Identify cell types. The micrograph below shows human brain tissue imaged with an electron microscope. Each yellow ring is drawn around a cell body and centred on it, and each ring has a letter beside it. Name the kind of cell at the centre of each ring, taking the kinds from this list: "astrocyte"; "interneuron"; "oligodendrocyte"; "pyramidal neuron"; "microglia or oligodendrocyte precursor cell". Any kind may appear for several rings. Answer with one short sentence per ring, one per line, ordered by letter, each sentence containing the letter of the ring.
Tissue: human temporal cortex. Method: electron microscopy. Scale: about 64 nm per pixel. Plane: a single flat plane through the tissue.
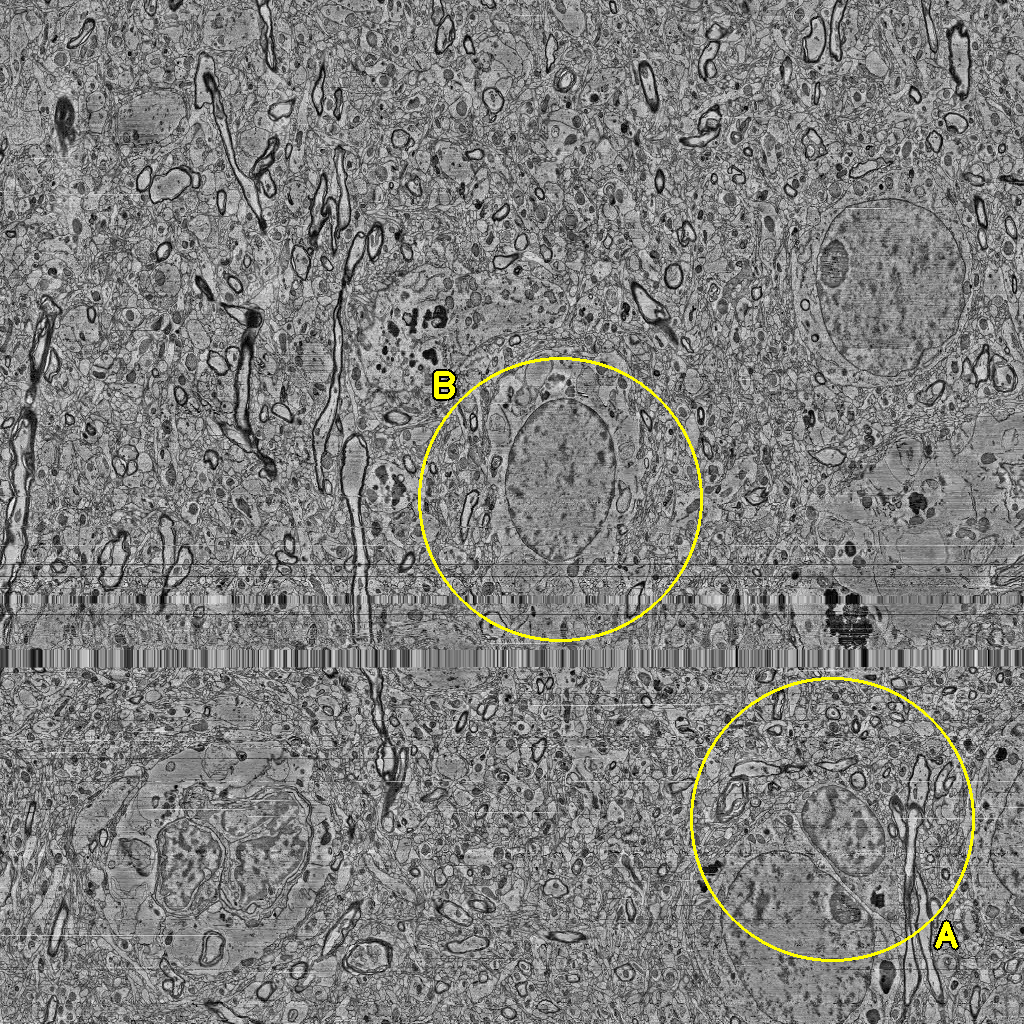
Ring A marks an oligodendrocyte.
Ring B marks an astrocyte.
